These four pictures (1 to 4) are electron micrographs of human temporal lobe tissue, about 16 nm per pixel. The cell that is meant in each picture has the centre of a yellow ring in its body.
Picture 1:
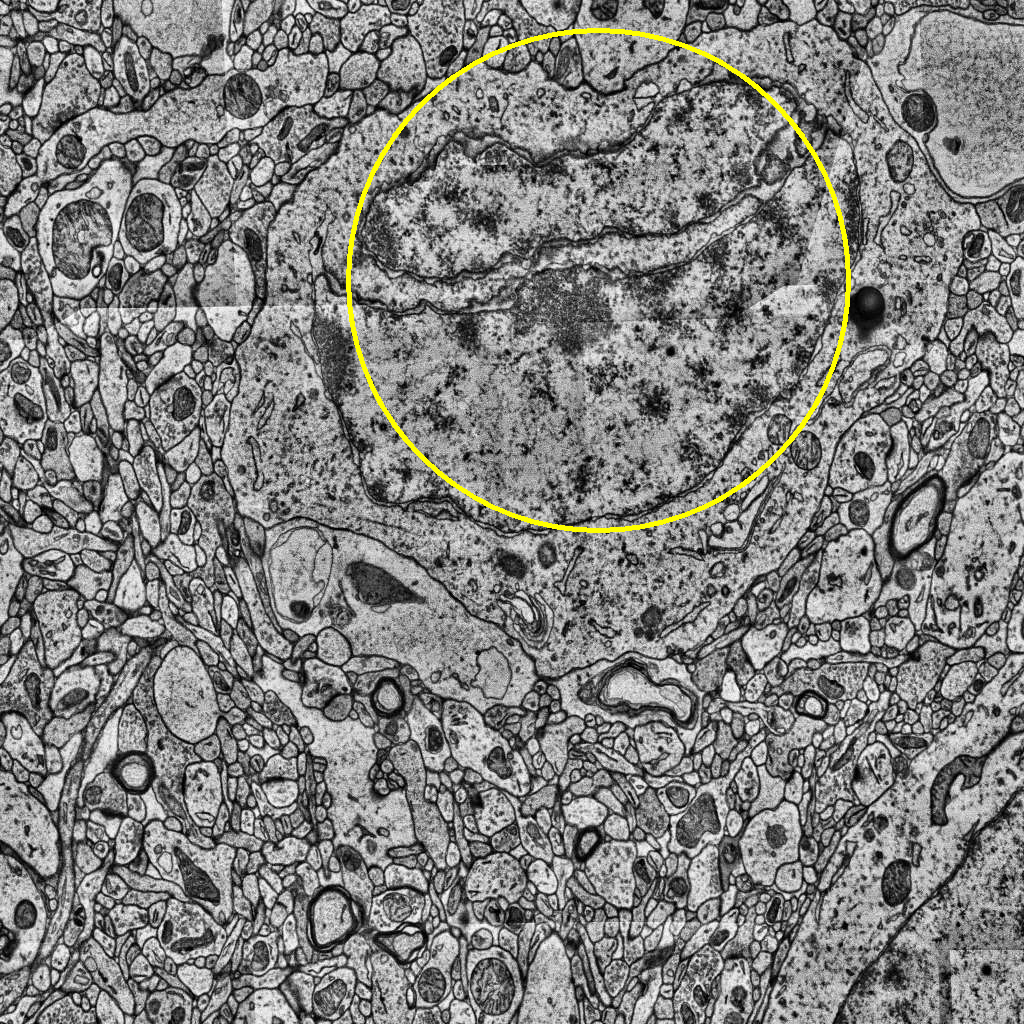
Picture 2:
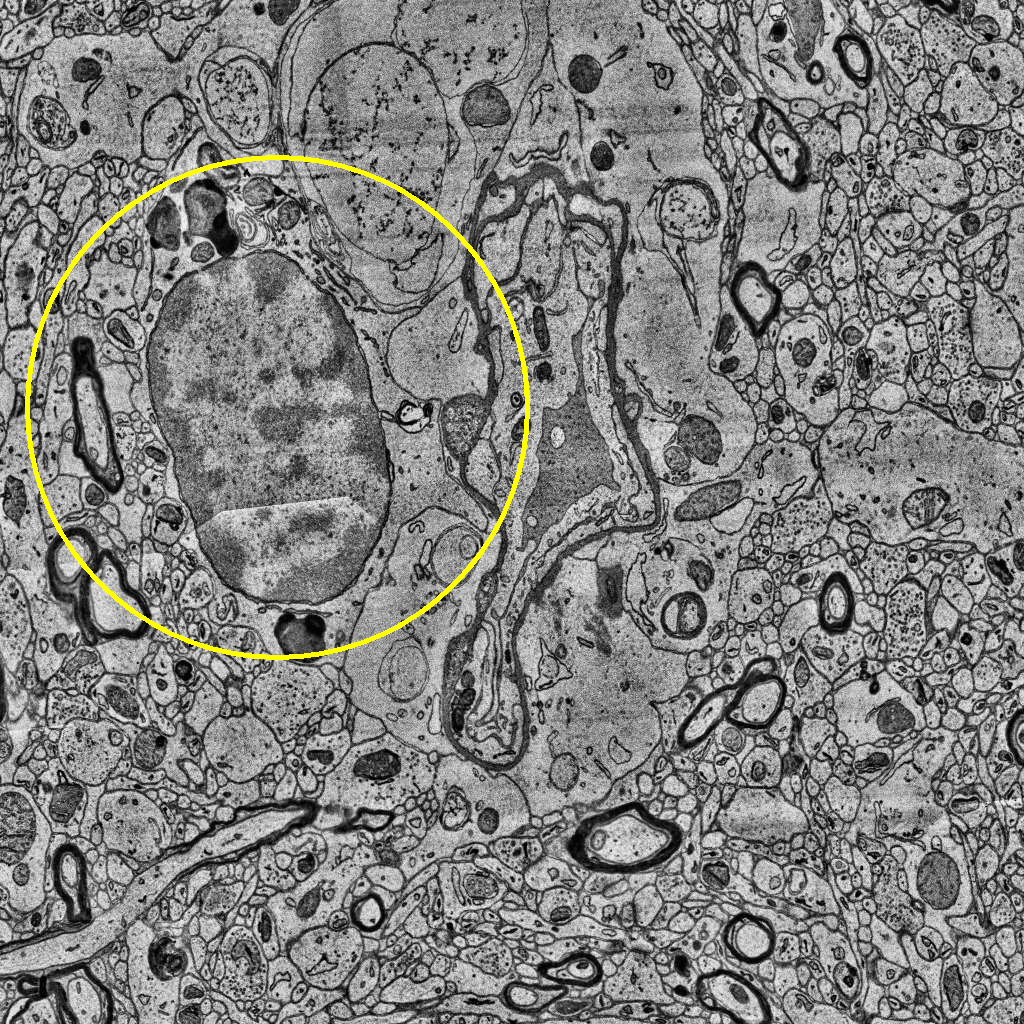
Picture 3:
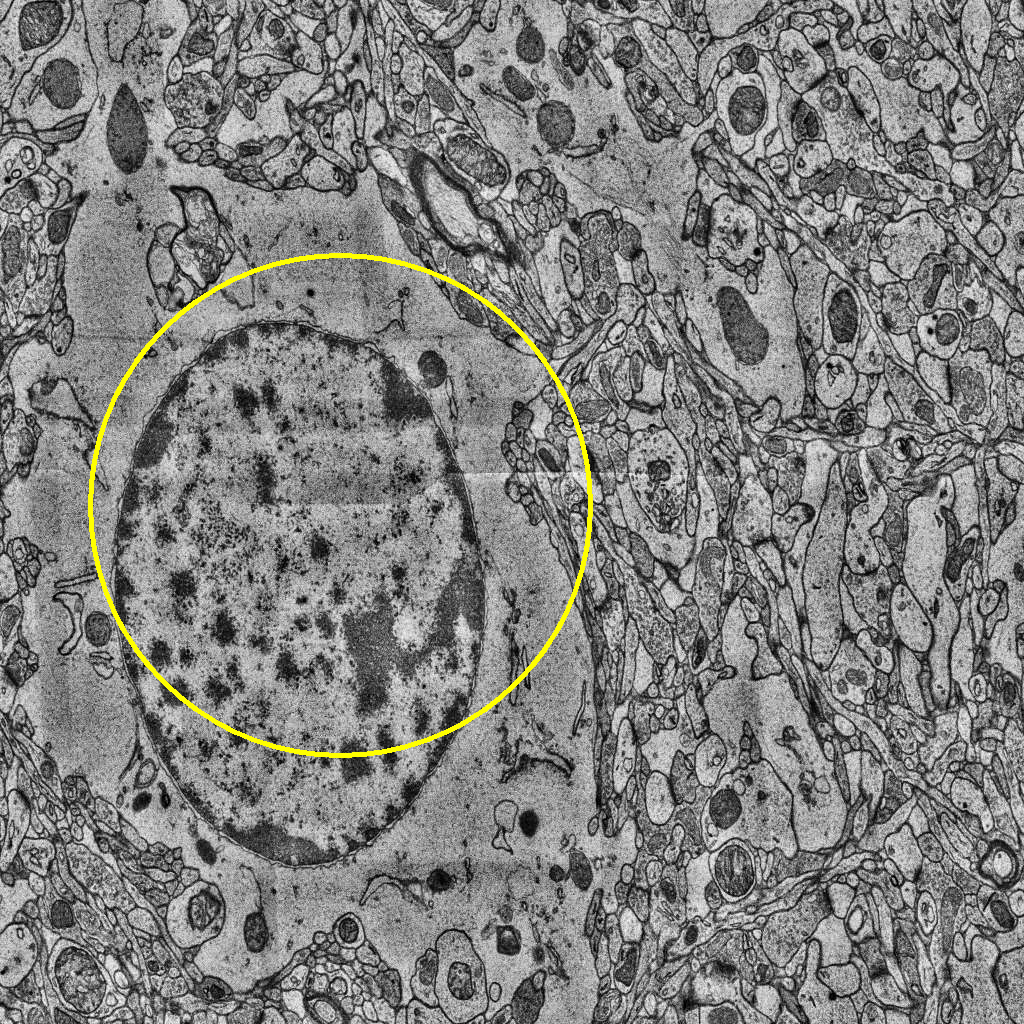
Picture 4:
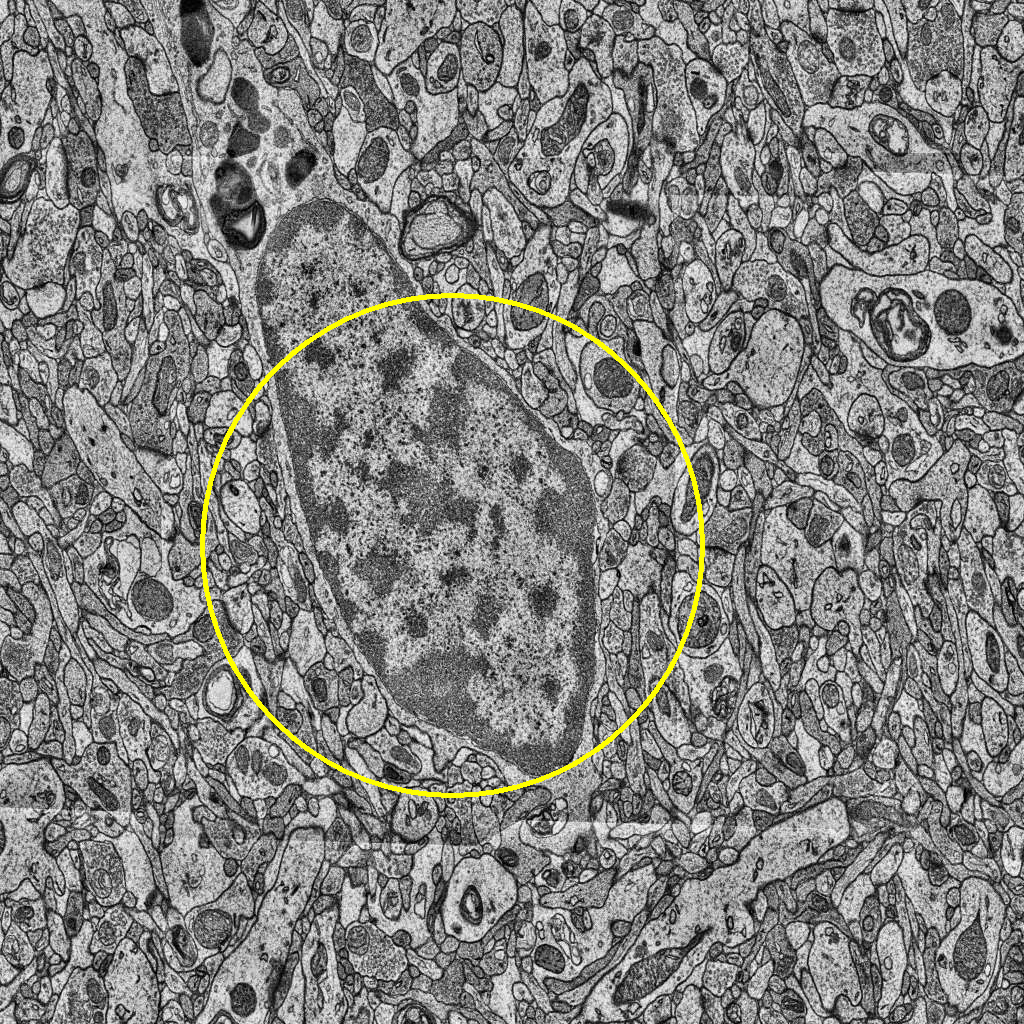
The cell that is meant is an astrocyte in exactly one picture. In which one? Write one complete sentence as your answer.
It is picture 3 that shows the astrocyte.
